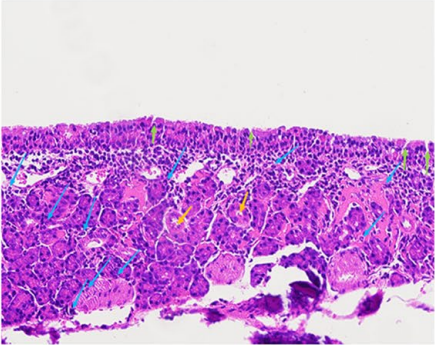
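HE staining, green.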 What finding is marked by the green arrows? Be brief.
Epithelial damage.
